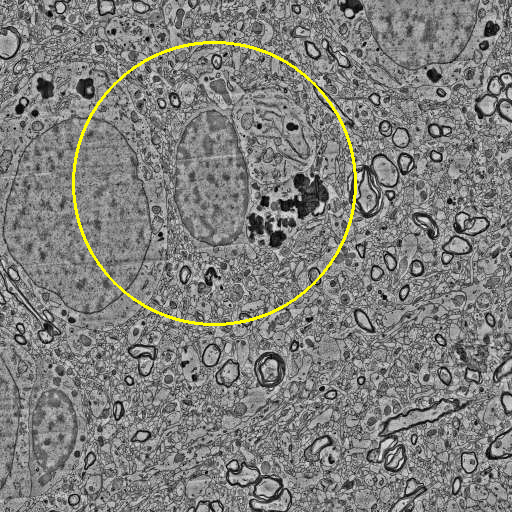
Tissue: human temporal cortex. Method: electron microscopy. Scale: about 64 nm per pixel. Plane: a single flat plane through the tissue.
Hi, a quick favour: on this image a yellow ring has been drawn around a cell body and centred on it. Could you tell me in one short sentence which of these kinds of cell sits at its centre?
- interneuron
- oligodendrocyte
The ring is centred on an oligodendrocyte.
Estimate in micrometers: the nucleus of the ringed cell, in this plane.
Roughly 9 micrometres by 5 micrometres, so the nucleus is clearly longer than it is wide in this plane.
